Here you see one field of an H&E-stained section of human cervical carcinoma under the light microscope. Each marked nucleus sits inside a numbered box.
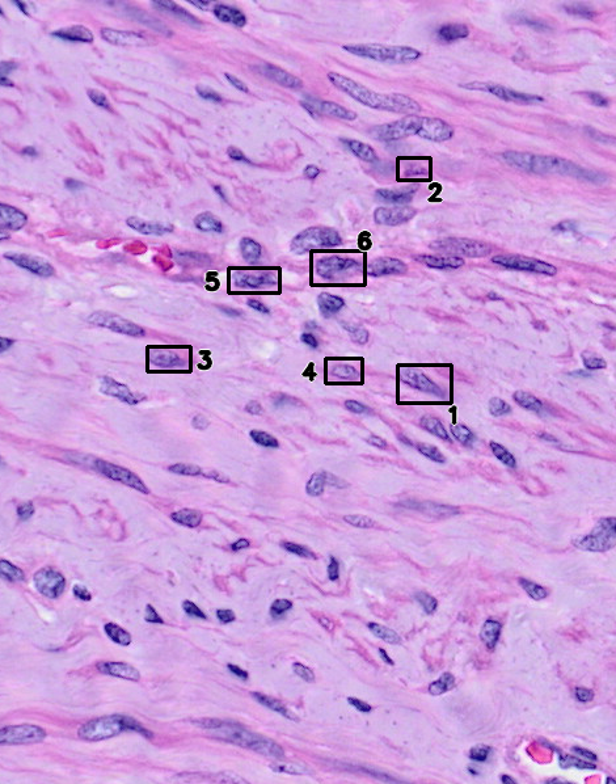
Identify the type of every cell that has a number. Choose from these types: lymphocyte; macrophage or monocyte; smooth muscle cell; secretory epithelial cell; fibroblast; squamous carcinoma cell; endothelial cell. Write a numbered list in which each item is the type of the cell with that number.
1. smooth muscle cell
2. smooth muscle cell
3. smooth muscle cell
4. smooth muscle cell
5. endothelial cell
6. endothelial cell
